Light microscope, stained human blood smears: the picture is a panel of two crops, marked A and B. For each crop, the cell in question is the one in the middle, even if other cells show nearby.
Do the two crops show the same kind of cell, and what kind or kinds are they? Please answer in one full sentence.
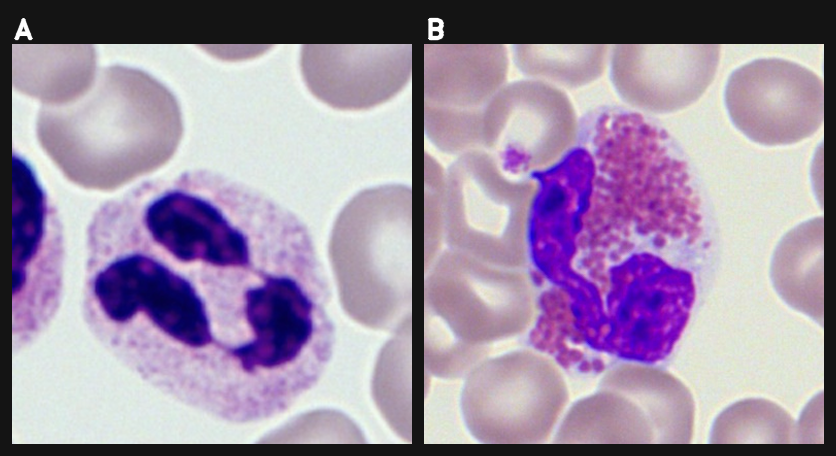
No, a segmented neutrophil is centred in crop A, and an eosinophil is centred in crop B.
